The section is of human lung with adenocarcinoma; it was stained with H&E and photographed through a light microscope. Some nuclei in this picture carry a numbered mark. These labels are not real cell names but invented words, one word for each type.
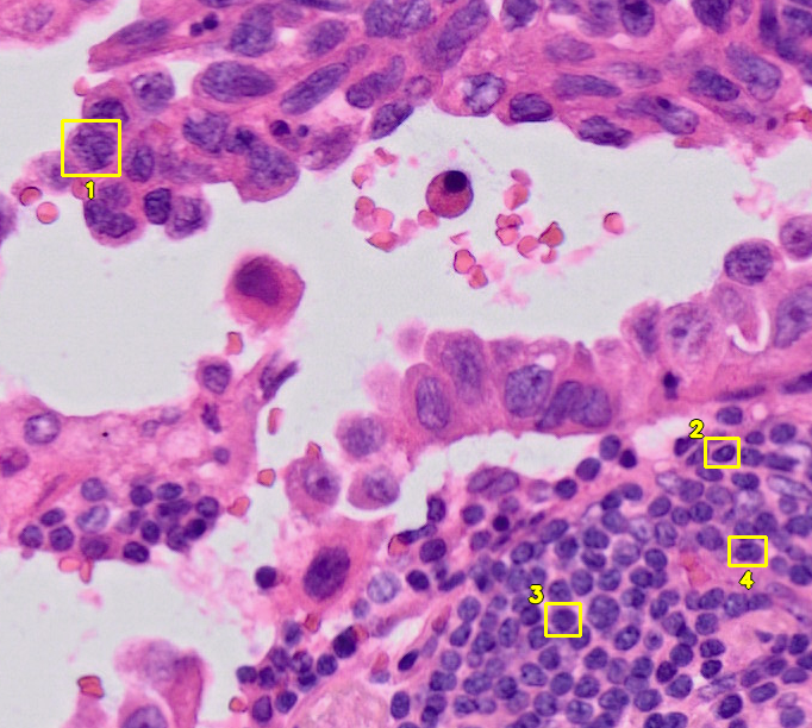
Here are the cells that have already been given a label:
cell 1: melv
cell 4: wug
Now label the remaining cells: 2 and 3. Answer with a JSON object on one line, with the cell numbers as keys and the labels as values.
{"2": "wug", "3": "wug"}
